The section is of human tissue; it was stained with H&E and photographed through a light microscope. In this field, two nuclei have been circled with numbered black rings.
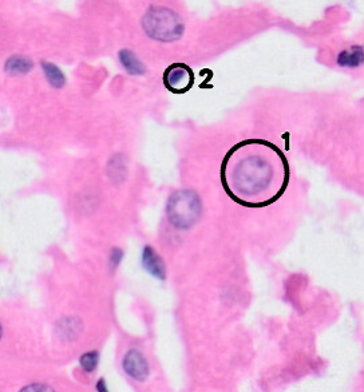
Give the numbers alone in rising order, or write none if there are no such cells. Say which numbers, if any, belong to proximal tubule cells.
1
